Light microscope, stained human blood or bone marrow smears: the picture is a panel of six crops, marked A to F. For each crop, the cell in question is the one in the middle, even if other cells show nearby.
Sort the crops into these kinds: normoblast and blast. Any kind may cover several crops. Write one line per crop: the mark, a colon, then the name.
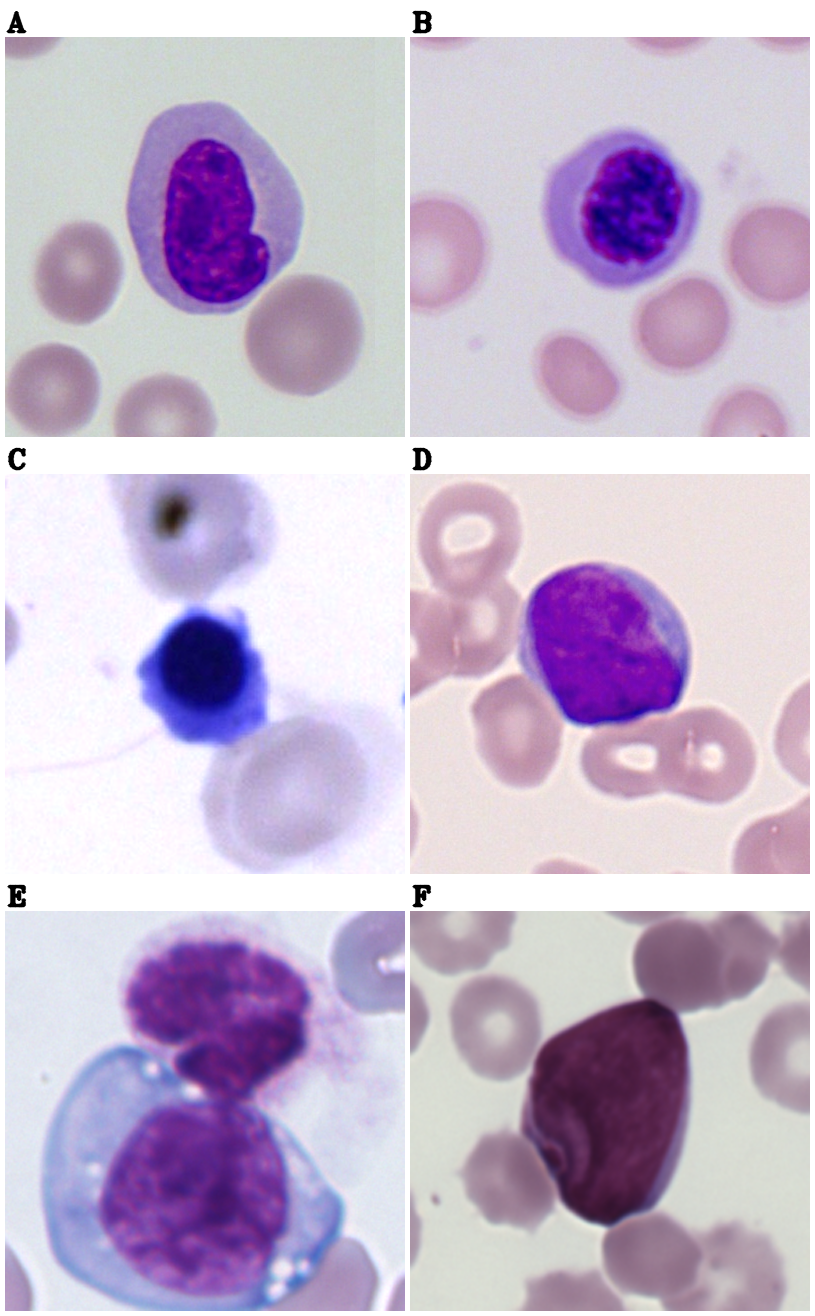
A: normoblast
B: normoblast
C: normoblast
D: blast
E: blast
F: blast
